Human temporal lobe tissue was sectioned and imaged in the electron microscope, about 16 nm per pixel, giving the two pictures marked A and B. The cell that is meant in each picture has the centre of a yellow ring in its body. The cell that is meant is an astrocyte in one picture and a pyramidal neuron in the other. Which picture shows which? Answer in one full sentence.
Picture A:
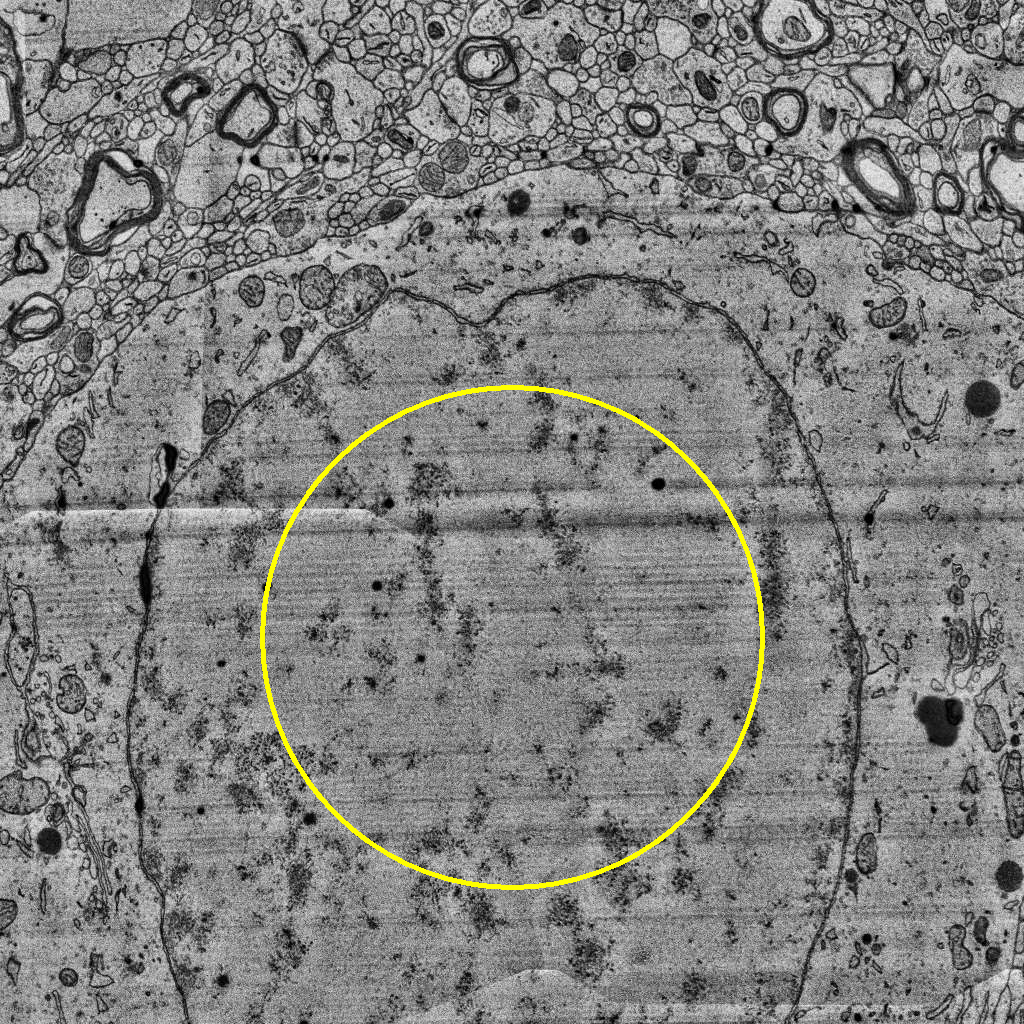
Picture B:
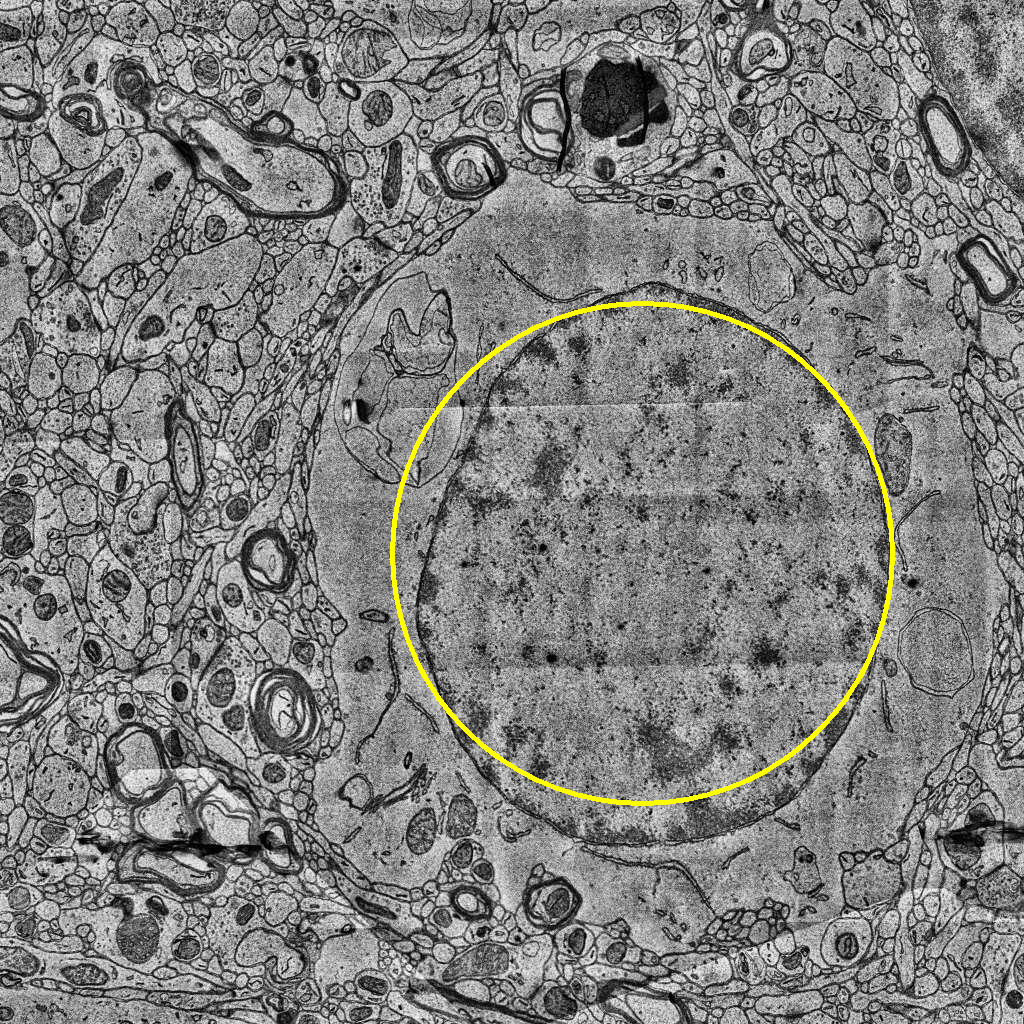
Picture A is of a pyramidal neuron, and picture B is of an astrocyte.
